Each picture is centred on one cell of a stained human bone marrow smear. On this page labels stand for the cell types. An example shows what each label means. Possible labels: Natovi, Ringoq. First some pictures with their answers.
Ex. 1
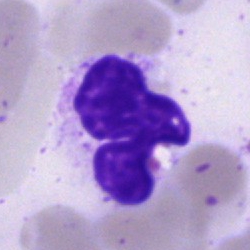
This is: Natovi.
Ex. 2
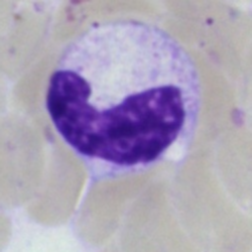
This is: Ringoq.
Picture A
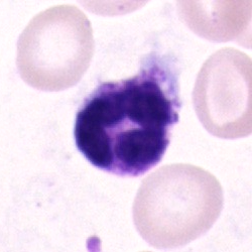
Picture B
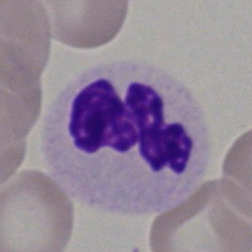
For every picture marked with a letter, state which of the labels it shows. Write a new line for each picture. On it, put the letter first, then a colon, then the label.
A: Natovi.
B: Natovi.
